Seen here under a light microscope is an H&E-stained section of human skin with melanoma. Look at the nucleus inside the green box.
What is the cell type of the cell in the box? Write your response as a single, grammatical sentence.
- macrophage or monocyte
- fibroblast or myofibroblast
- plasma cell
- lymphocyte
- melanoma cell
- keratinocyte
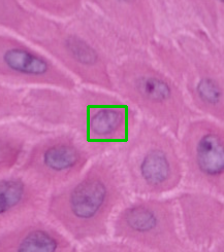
With respect to cell type, the cell in the box is a keratinocyte.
